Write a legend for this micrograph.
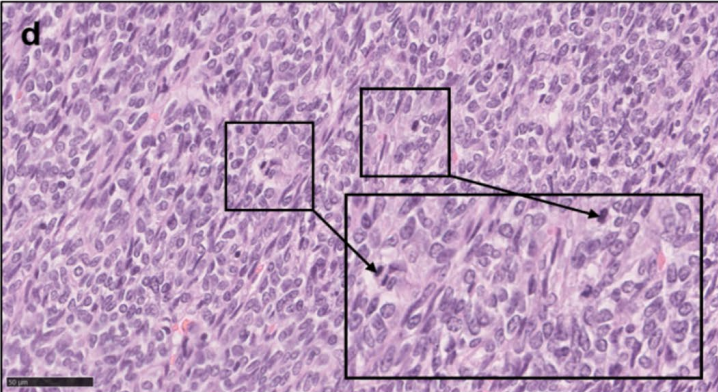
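This is a densely cellular tumor made up of spindle-shaped, polymorphic cells with oval to elongated purple nuclei of varying size, packed in sheets and vague fascicles with scant pale pink cytoplasm and little stroma between them. Scattered mitotic figures appear as small dark condensed chromatin clumps, shown enlarged in the inset.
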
